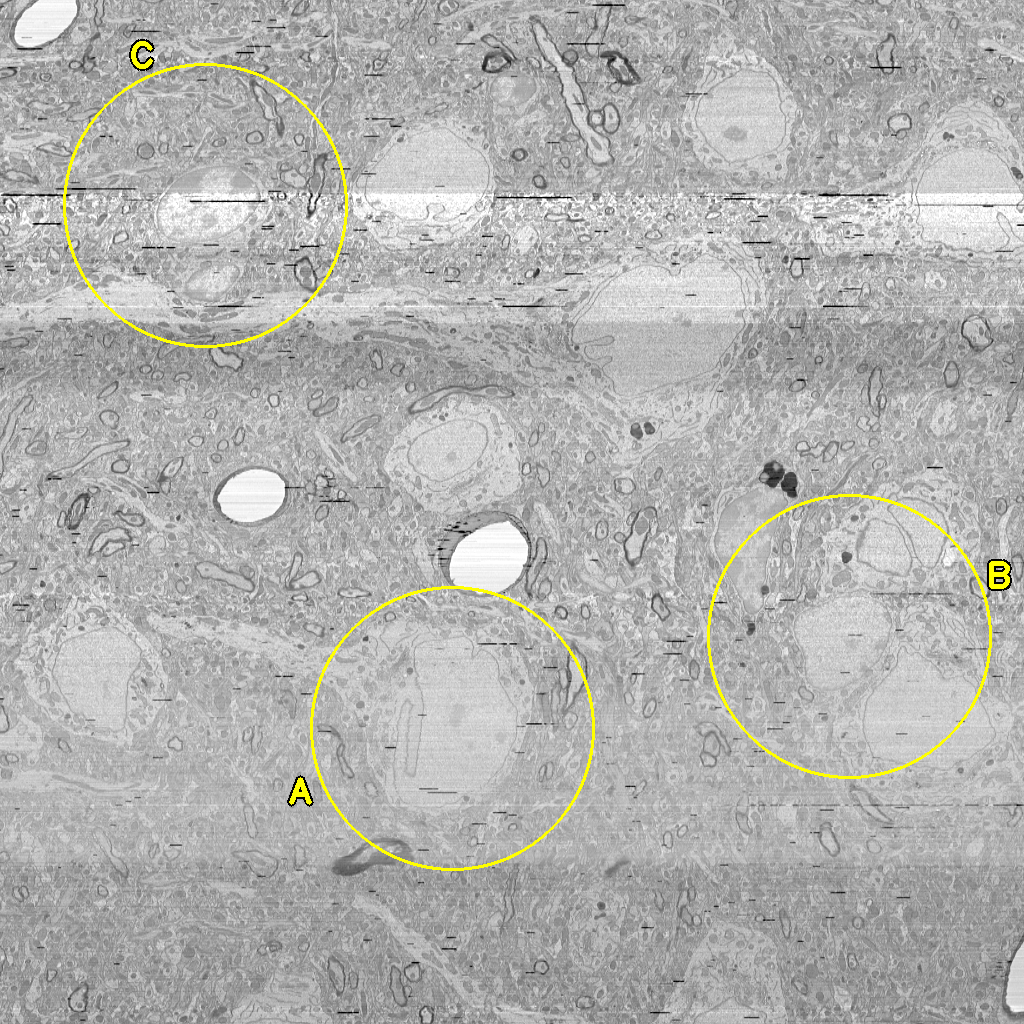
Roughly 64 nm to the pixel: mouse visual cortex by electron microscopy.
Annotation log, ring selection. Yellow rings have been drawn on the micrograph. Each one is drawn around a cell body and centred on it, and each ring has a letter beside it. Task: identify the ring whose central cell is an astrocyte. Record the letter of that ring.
B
